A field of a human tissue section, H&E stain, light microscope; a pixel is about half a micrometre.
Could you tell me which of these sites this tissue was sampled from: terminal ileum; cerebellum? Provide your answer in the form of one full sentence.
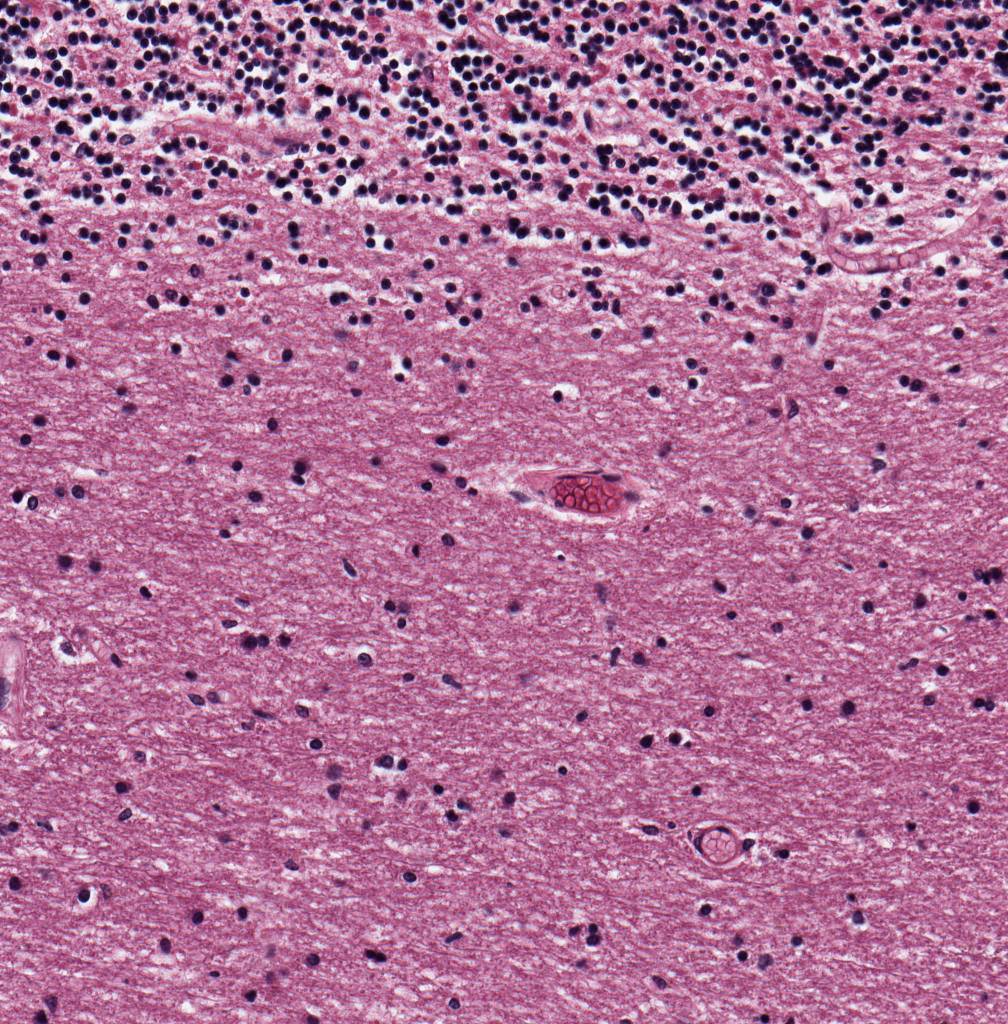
It was from the cerebellum that this tissue was sampled.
